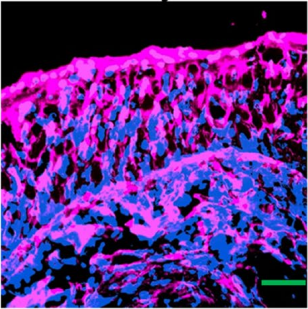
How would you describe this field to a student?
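A bright magenta network of strands and meshes runs through it, thickest along a band at the upper surface. A second, curved layer with the same mesh-like pattern lies in the lower half of the field.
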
